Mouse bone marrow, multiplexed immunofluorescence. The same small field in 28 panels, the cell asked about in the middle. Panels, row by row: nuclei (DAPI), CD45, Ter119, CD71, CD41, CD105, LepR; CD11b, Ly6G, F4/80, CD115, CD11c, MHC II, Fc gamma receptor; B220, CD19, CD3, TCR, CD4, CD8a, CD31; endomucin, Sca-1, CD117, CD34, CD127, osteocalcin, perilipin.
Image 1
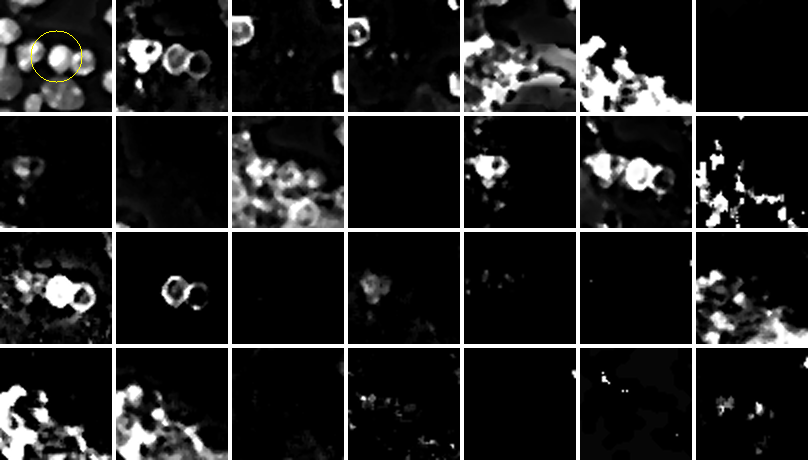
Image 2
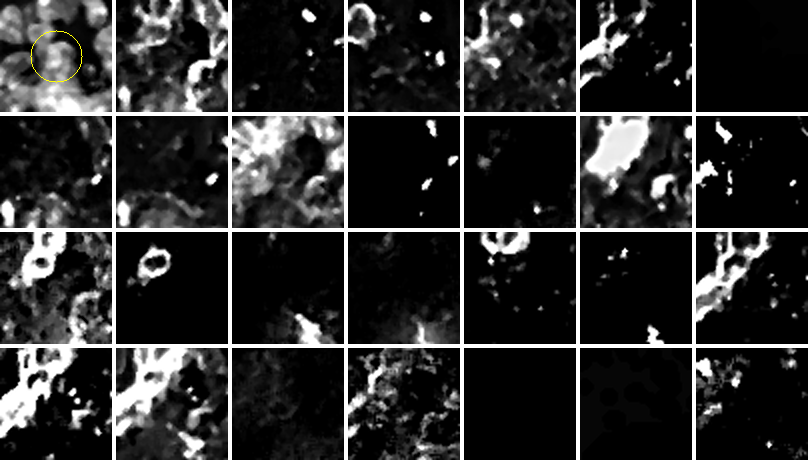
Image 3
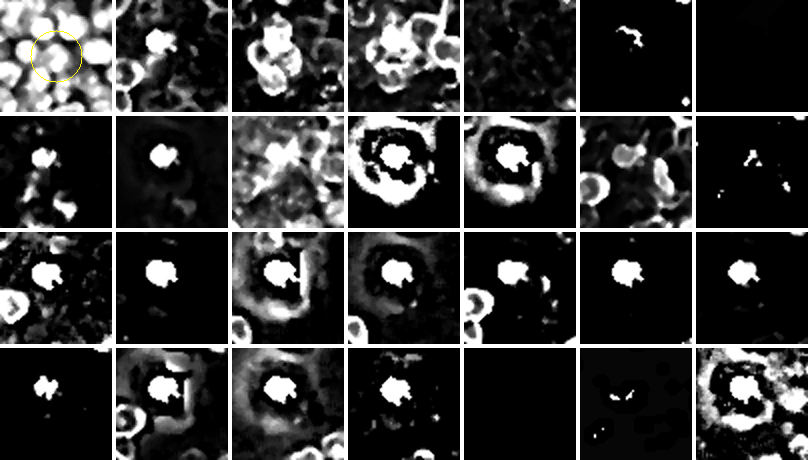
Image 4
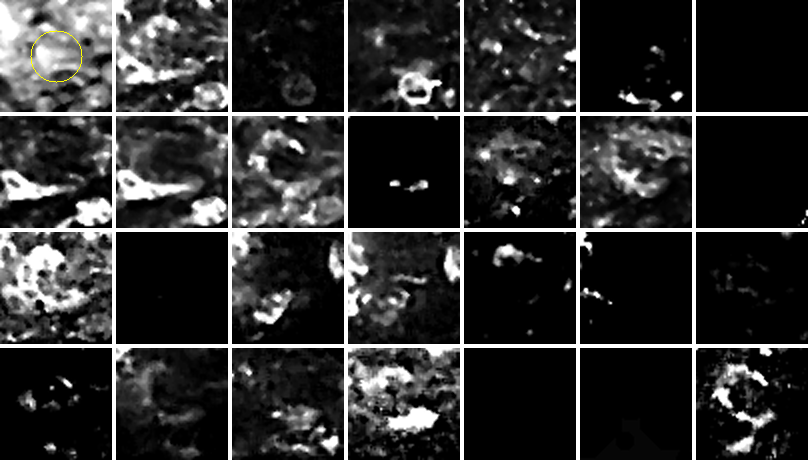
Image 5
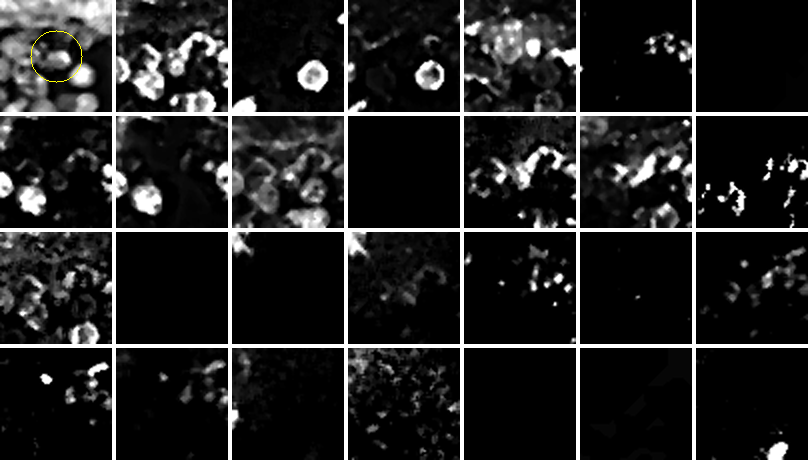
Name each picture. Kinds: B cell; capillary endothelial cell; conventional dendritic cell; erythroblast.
1: B cell
2: capillary endothelial cell
3: erythroblast
4: conventional dendritic cell
5: conventional dendritic cell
